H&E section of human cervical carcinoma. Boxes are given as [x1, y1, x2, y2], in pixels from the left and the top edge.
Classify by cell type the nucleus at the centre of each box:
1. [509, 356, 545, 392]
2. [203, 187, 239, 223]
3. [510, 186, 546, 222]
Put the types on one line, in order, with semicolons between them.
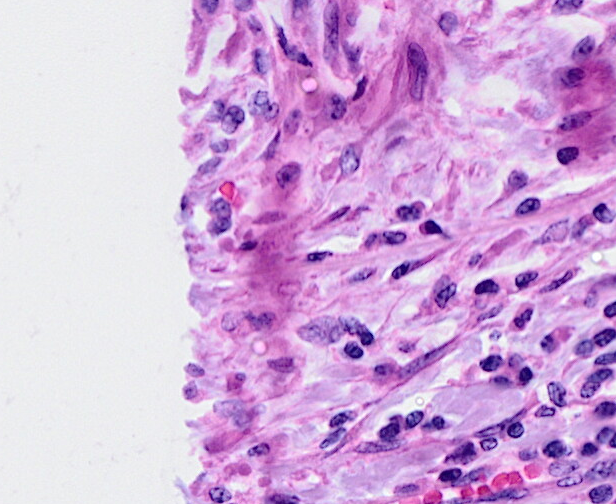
lymphocyte; endothelial cell; lymphocyte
